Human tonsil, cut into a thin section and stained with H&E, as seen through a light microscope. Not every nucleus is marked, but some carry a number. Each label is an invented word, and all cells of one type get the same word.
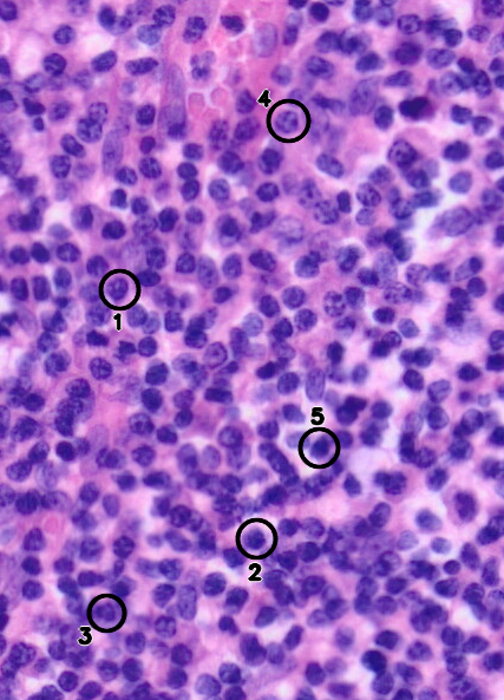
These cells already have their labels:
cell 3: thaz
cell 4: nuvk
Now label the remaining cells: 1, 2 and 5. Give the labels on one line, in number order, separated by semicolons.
nuvk; thaz; thaz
